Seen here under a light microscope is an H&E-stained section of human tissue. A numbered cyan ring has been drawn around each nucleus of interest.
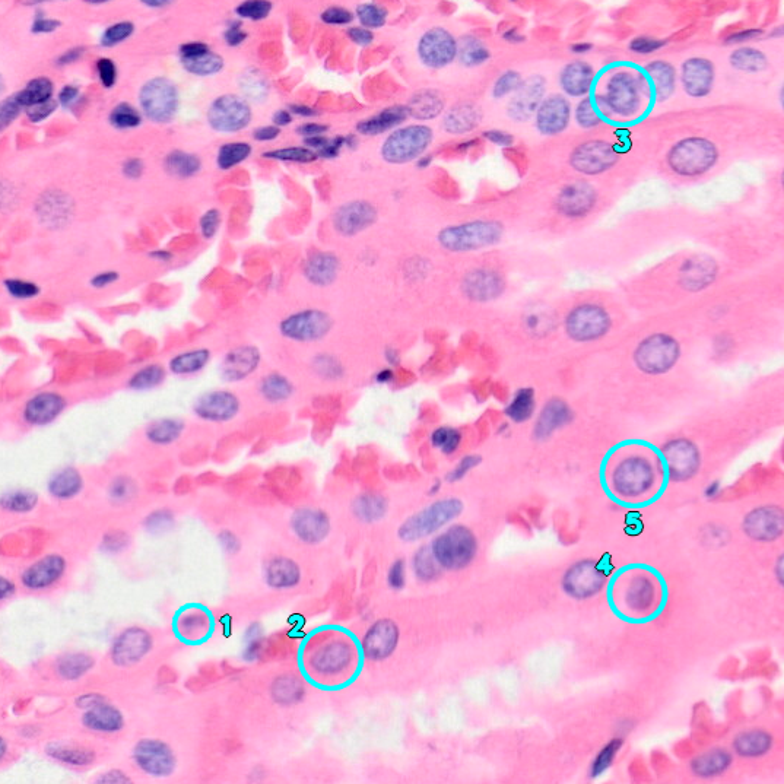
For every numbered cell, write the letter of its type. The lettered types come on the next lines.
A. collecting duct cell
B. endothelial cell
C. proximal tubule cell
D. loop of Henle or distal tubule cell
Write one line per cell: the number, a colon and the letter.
1: D
2: C
3: A
4: C
5: C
